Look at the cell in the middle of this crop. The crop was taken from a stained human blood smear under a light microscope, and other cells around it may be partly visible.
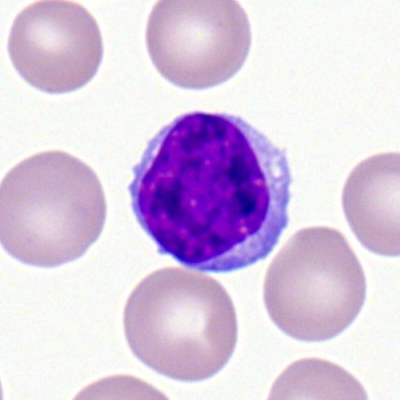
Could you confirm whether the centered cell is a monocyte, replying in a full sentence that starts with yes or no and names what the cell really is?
No, the central cell is classed as a lymphocyte, not a monocyte.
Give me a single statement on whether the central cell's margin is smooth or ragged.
Rather than running smoothly, the cell border is ragged or carries projections.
